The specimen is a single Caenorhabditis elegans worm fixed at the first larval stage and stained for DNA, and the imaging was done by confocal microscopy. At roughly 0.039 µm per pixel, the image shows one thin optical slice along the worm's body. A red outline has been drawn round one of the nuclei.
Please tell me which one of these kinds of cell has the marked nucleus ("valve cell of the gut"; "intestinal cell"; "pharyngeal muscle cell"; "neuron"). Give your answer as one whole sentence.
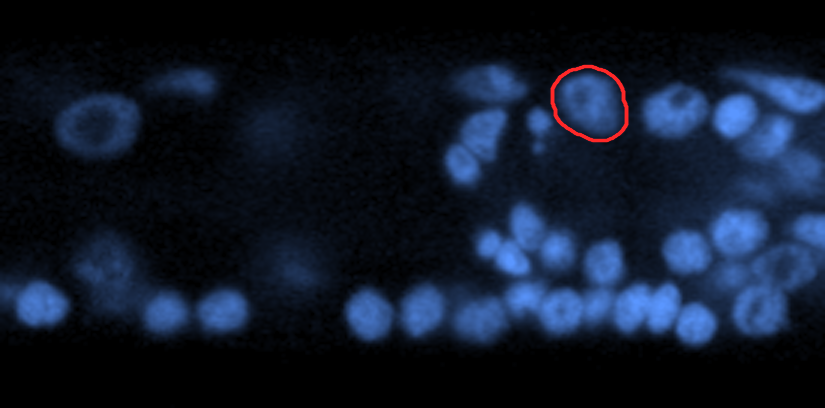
What is marked is the nucleus of a pharyngeal muscle cell.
